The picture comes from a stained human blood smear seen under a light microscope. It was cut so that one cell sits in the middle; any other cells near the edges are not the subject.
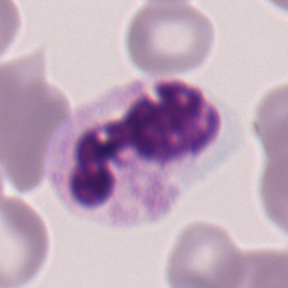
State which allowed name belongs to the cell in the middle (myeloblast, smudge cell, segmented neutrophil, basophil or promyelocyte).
segmented neutrophil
